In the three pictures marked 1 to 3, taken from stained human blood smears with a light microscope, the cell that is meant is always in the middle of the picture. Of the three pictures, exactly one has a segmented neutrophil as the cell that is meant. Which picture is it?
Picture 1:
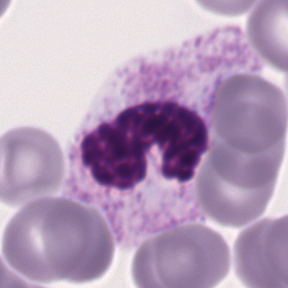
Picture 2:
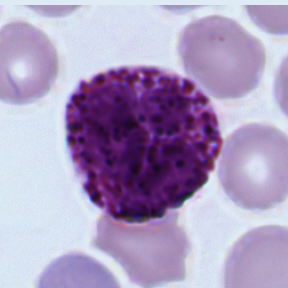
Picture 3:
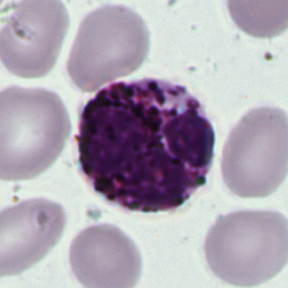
1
